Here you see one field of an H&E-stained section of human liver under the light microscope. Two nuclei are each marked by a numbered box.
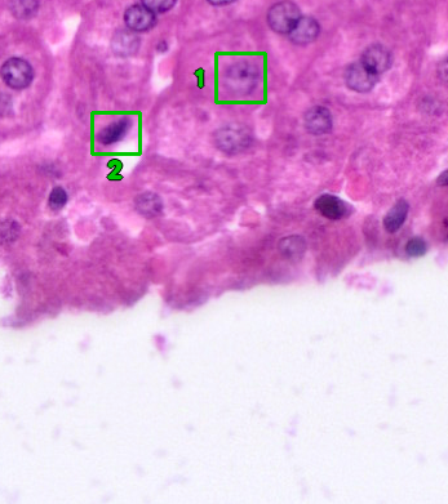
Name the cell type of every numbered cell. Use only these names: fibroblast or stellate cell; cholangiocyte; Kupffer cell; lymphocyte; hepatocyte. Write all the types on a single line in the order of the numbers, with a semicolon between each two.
hepatocyte; fibroblast or stellate cell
